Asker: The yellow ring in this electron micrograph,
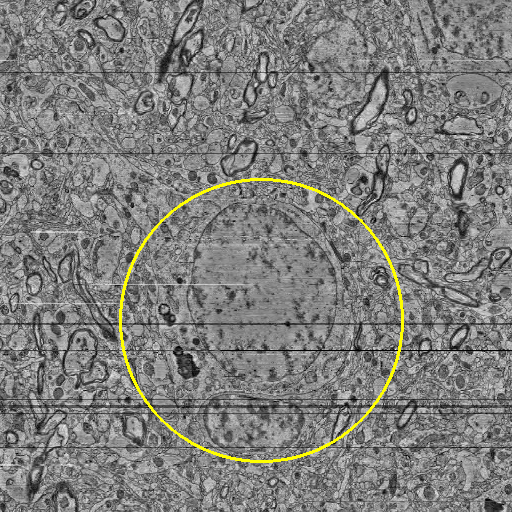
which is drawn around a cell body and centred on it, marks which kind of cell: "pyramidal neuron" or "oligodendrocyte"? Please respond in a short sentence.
The marked cell is a pyramidal neuron.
